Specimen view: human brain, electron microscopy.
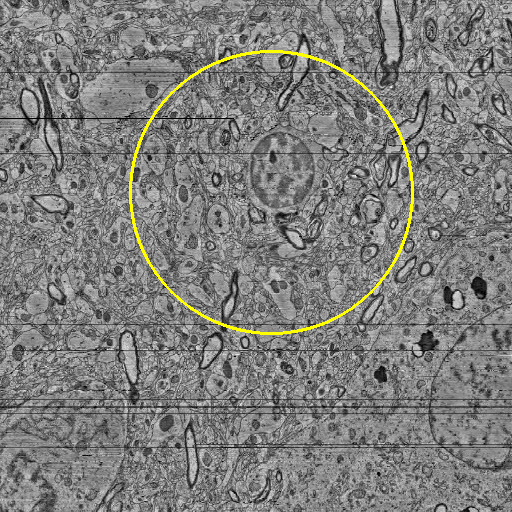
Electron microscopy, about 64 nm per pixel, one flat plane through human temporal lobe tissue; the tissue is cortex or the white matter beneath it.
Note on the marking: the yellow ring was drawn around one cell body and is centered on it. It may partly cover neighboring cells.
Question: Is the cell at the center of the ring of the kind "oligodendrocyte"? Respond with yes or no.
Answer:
yes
